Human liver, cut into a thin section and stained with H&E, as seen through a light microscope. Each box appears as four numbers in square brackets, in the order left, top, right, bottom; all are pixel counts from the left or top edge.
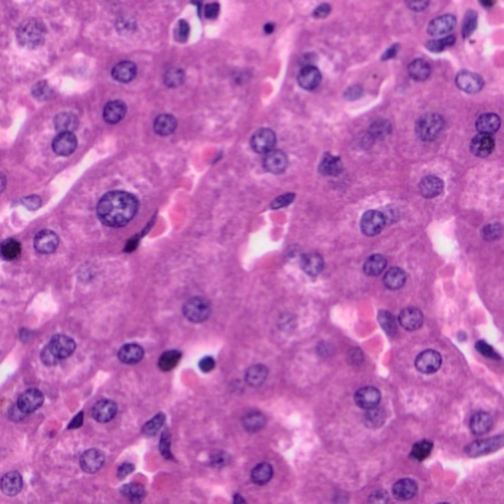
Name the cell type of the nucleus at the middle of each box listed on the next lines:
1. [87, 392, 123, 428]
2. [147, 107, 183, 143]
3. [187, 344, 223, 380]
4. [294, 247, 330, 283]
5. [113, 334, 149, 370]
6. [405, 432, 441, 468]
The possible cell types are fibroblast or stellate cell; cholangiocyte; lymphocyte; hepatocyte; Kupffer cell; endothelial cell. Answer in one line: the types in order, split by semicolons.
hepatocyte; hepatocyte; lymphocyte; hepatocyte; hepatocyte; fibroblast or stellate cell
